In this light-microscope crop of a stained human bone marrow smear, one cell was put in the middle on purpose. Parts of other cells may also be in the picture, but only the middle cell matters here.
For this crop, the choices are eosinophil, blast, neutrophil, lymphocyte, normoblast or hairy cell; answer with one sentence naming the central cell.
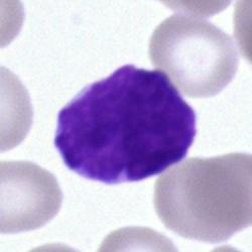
Regarding the central cell, it is a lymphocyte.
